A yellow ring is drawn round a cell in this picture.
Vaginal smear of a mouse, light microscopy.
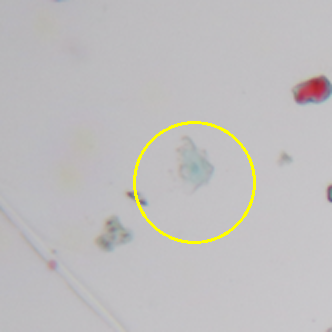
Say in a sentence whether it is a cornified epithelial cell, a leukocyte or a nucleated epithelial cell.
The cell in the ring is a cornified epithelial cell.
